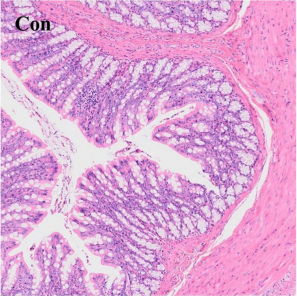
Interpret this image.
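A folded wall of colon is seen in cross-section, its mucosa made of long, straight colonic crypts standing side by side and opening toward a branching central lumen. The crypts are lined by columnar epithelial cells with purple basal nuclei, among which many cells hold pale, rounded mucus droplets that give the glands a bubbly look. Between the crypts lies a thin cellular lamina propria, and around the mucosa run thick pink bands of smooth muscle. The crypts are tall and the mucosa is full and well ordered.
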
